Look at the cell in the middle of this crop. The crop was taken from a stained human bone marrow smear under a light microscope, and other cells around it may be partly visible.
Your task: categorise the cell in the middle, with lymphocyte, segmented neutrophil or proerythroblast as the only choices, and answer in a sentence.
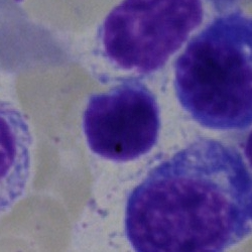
The middle position in this crop is taken by a lymphocyte.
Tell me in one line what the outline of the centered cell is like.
The border of this cell runs smooth and free of any projections.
